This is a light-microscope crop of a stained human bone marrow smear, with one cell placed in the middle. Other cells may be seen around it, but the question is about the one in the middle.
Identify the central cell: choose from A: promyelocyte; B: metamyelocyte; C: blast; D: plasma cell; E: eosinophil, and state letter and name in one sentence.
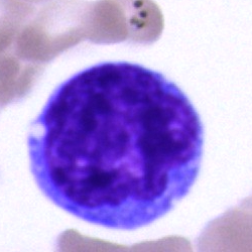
The middle cell of the crop is a blast; accordingly, option C is correct.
